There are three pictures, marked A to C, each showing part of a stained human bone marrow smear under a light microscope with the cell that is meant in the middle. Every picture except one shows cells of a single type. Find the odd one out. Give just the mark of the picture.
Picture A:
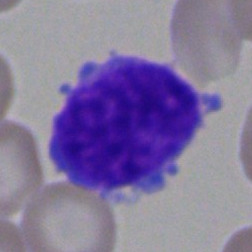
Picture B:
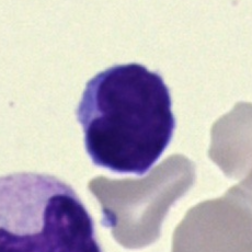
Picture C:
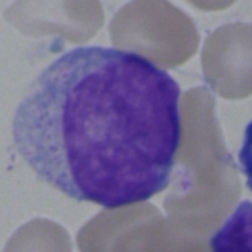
B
